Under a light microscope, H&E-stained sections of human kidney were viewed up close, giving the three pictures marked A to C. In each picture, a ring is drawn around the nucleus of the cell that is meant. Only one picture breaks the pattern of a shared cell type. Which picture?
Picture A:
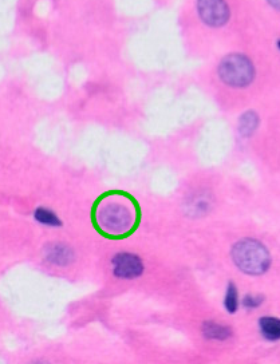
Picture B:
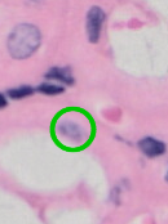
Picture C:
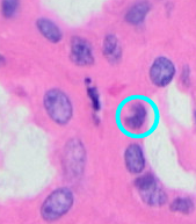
A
